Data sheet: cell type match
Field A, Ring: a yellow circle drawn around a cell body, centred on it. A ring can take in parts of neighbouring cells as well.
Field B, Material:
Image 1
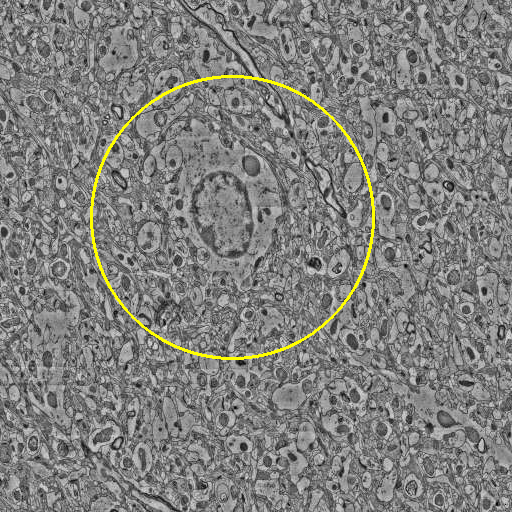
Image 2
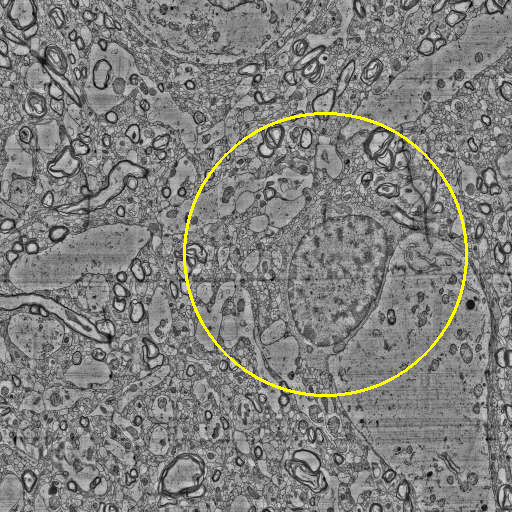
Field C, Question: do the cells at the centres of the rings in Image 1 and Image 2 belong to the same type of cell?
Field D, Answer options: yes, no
no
